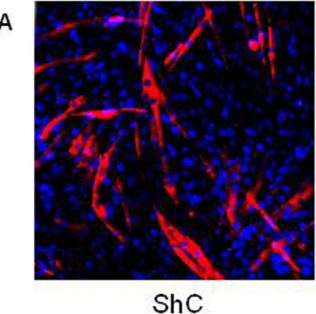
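Cultured muscle cells in which many long, spindle-shaped myofibers are stained red and cross the field in different directions. Some of these red fibers hold several blue oval nuclei, while a dense carpet of blue nuclei from unfused cells lies between them.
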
